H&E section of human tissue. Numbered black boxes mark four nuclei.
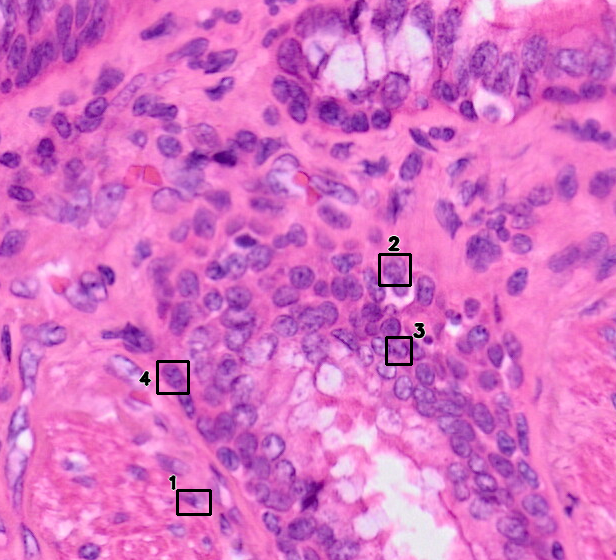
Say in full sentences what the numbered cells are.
Cell 1 is a smooth muscle cell or pericyte. Cells 2, 3 and 4 are ciliated epithelial cells.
